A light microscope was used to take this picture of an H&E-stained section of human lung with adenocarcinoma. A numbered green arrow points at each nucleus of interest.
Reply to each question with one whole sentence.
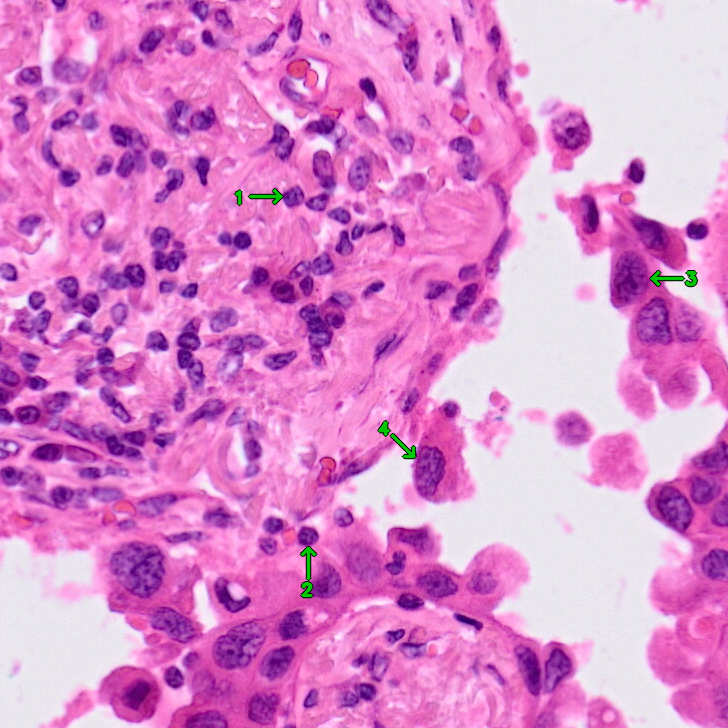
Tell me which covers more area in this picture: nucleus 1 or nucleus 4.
Number 4 is larger; its area is about 3 times that of number 1.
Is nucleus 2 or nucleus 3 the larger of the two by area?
The larger nucleus is 3, at roughly 4 times the area of 2.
